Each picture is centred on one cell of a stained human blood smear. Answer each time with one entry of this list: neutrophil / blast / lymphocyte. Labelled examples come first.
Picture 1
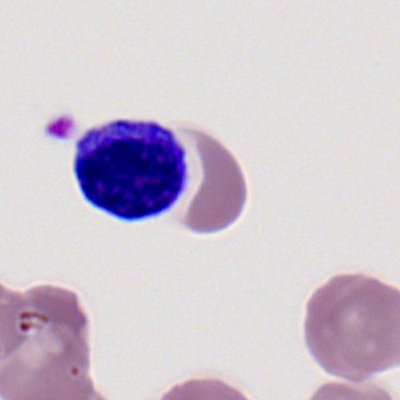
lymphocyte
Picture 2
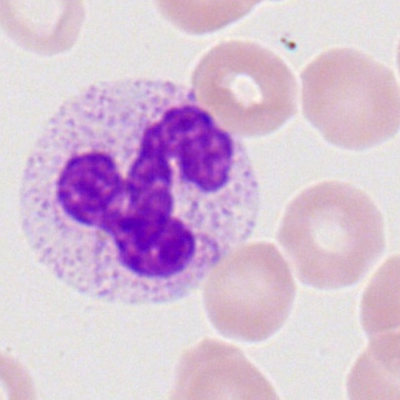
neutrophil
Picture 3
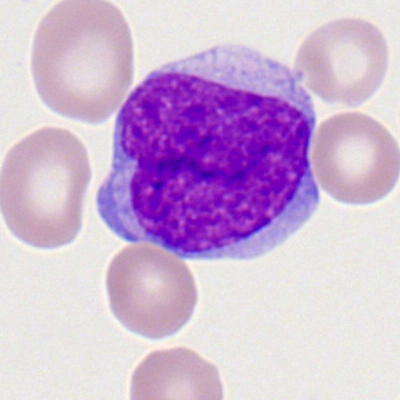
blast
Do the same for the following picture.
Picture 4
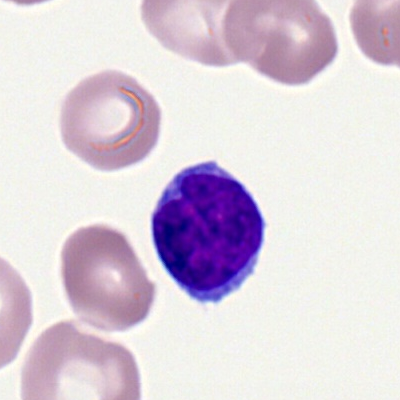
lymphocyte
